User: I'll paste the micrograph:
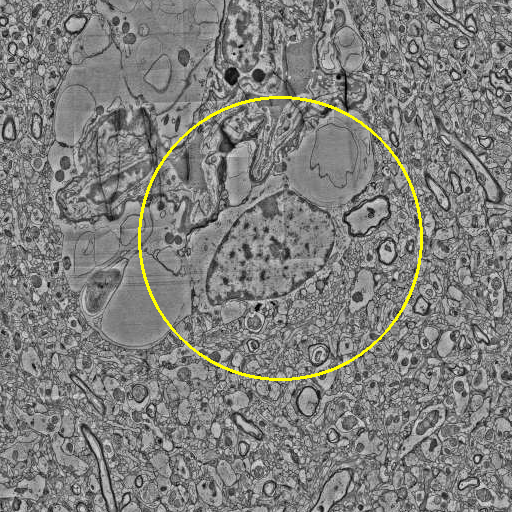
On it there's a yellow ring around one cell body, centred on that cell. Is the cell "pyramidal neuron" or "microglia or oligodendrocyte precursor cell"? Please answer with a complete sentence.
The cell ringed in yellow is a microglial cell or oligodendrocyte precursor cell.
